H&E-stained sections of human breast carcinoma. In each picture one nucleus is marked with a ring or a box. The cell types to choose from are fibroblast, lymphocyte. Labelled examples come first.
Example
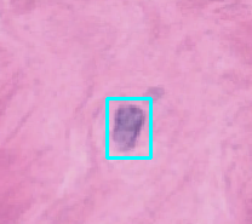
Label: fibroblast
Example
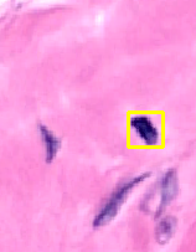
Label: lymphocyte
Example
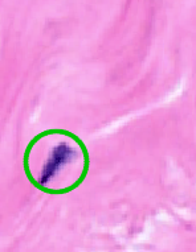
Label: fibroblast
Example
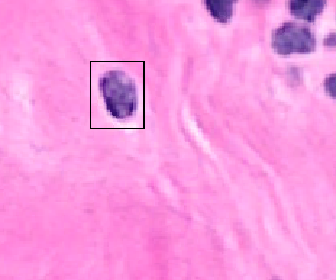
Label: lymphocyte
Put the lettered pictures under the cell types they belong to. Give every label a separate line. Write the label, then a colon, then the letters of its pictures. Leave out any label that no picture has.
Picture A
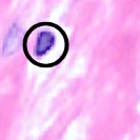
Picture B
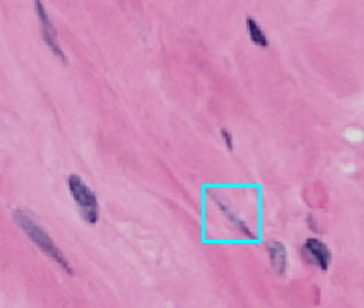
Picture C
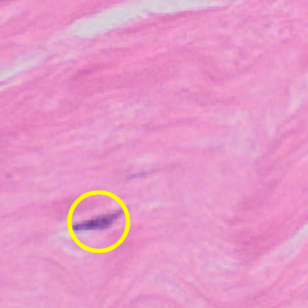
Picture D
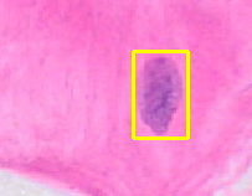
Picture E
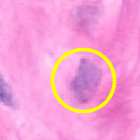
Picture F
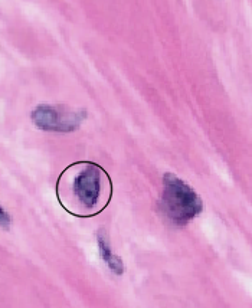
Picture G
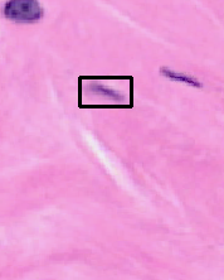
fibroblast: B, C, D, E, G
lymphocyte: A, F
